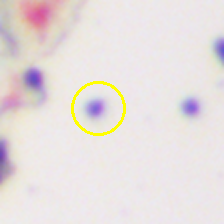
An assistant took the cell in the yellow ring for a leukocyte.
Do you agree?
I agree, it is a leukocyte.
